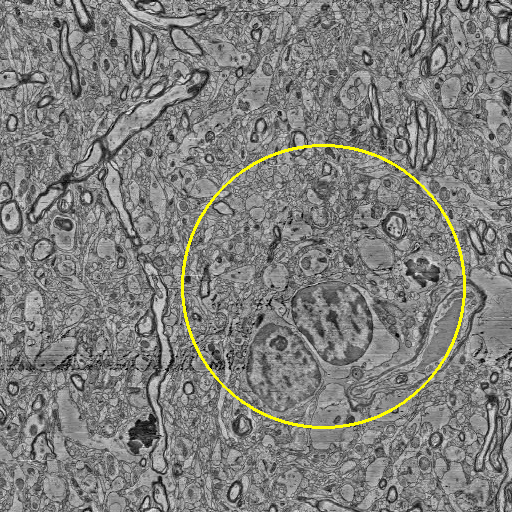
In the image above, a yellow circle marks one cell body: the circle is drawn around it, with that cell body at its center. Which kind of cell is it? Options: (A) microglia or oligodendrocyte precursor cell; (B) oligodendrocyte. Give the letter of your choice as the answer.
A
